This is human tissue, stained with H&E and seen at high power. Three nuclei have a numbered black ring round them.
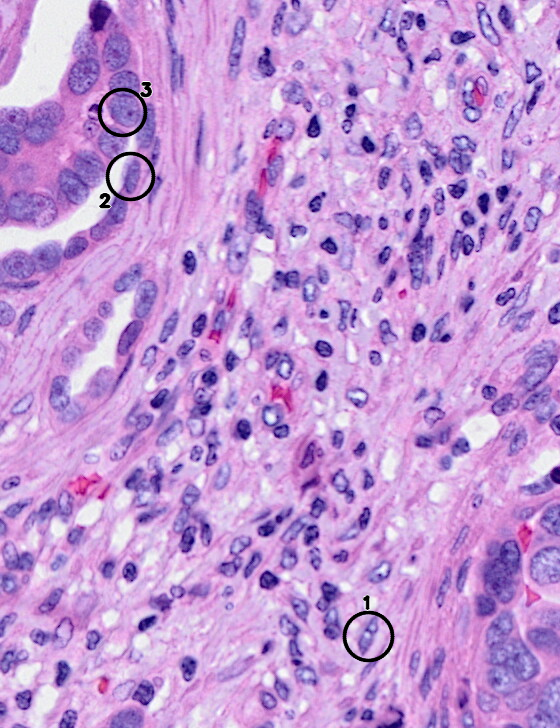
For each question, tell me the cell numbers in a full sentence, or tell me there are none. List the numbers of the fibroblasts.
The one cell that is a fibroblast is cell 1, and no other.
